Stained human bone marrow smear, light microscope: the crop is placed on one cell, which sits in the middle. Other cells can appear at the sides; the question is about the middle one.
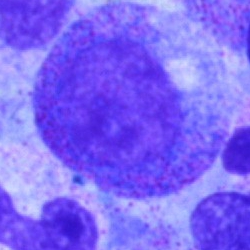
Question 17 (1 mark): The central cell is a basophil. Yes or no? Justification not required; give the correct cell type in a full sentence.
No, the central cell is not a basophil; it is a promyelocyte instead.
